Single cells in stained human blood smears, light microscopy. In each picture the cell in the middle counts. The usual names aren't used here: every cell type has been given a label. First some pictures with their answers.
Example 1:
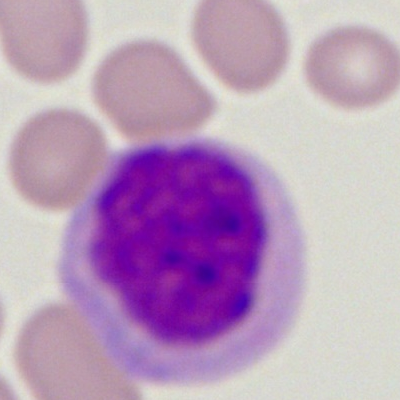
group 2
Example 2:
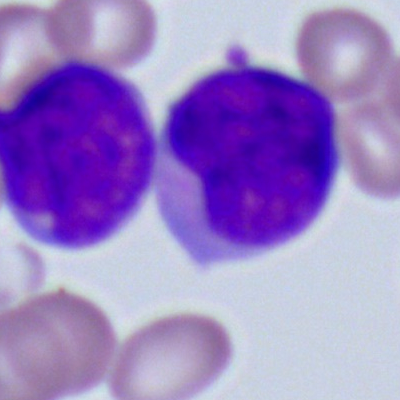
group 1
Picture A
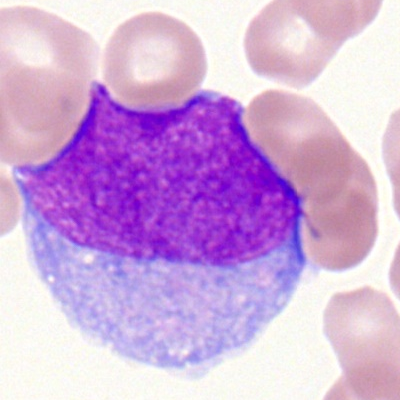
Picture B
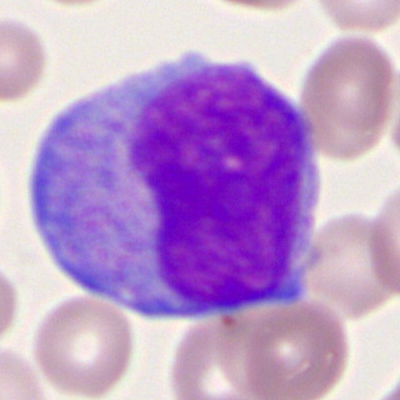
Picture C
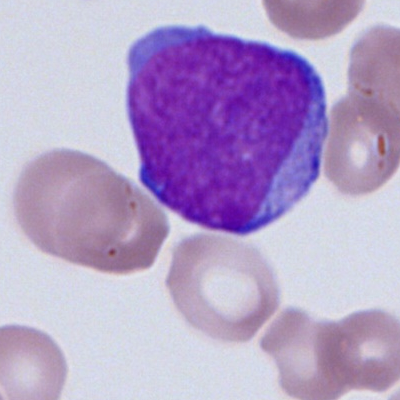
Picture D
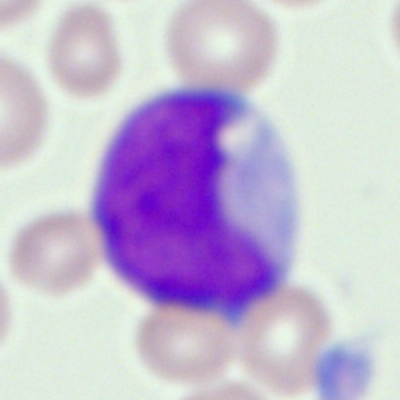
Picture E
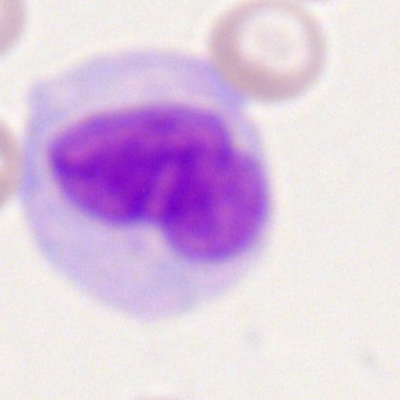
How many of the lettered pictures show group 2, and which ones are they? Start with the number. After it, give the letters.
1, namely E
